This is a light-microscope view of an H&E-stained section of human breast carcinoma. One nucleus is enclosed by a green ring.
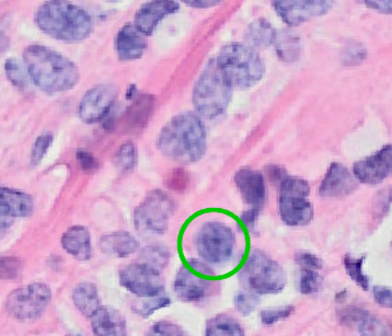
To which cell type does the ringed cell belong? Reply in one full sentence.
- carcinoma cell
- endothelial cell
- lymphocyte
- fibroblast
It is as a carcinoma cell that the ringed cell is classified.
